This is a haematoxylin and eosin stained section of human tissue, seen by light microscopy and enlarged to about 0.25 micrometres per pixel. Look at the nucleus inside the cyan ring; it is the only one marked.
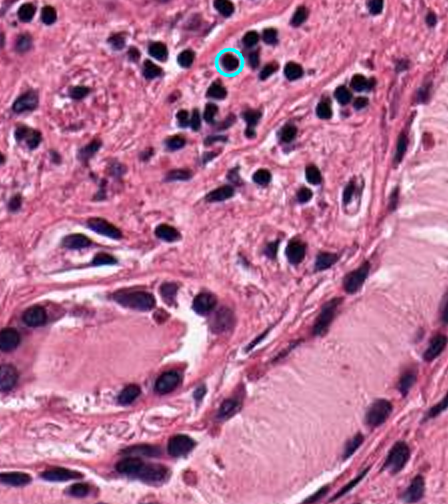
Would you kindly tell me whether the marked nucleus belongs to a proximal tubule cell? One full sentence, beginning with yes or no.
No, the marked nucleus is assigned not to a proximal tubule cell but to a supporting cell.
